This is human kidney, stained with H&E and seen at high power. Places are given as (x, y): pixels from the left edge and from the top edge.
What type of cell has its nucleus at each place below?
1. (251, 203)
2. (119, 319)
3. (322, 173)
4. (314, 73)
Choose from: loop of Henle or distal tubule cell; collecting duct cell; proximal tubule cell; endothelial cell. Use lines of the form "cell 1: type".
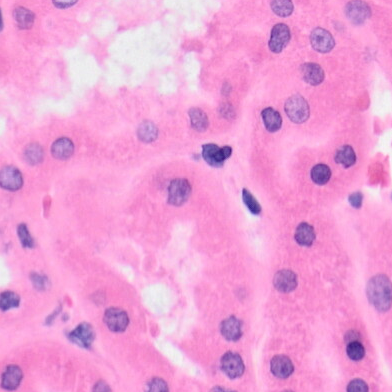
cell 1: endothelial cell
cell 2: proximal tubule cell
cell 3: proximal tubule cell
cell 4: proximal tubule cell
